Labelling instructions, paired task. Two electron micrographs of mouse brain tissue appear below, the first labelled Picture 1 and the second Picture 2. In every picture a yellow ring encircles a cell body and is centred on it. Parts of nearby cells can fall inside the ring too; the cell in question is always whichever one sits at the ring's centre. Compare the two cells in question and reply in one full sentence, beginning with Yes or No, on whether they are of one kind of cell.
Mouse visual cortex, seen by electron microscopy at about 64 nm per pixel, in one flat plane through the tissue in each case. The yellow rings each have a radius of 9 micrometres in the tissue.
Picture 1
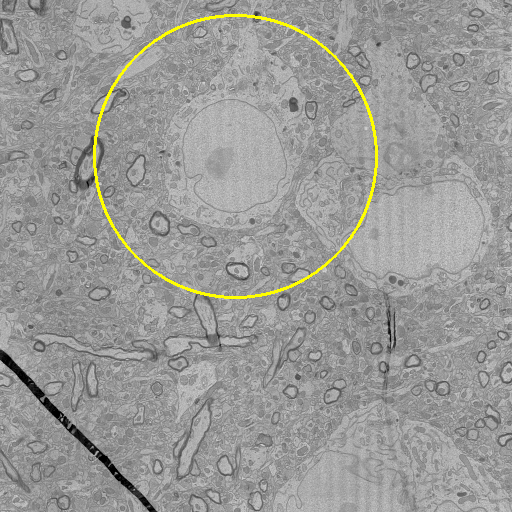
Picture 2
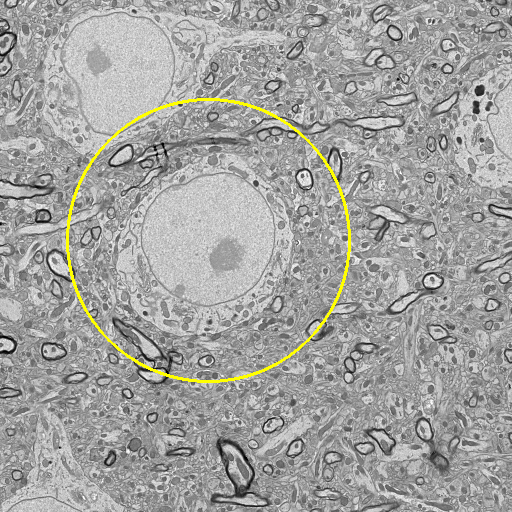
Yes, the two cells at the ring centres in Picture 1 and Picture 2 are of one kind.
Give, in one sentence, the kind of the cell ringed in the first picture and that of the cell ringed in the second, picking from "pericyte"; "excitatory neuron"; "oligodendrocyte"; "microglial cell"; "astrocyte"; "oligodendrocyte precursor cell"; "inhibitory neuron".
Each of the two cells is an excitatory neuron.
